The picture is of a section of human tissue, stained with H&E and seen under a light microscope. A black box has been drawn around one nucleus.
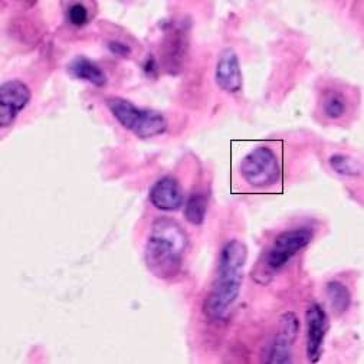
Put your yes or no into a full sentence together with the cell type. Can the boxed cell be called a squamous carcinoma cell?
Yes, as far as cell type goes, the boxed cell is a squamous carcinoma cell.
